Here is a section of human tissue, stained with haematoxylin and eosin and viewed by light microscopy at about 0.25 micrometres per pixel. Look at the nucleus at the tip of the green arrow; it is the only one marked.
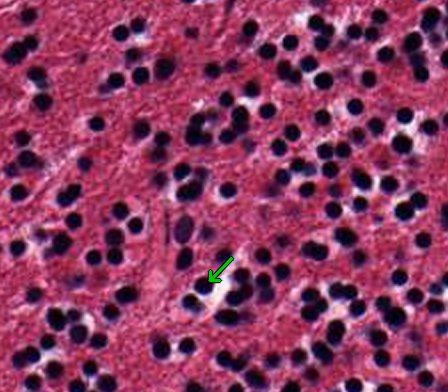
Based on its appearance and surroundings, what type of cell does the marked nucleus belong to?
cerebellar granule cell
